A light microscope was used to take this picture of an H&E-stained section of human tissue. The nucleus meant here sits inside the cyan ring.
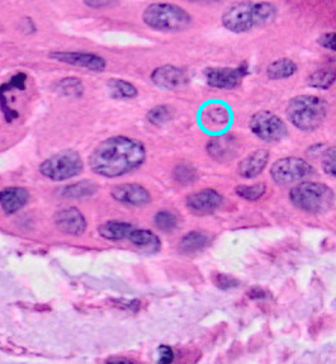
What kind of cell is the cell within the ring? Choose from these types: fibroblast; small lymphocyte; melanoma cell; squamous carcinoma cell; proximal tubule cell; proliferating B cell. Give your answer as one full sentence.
By its classification, the cell within the ring is a squamous carcinoma cell.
